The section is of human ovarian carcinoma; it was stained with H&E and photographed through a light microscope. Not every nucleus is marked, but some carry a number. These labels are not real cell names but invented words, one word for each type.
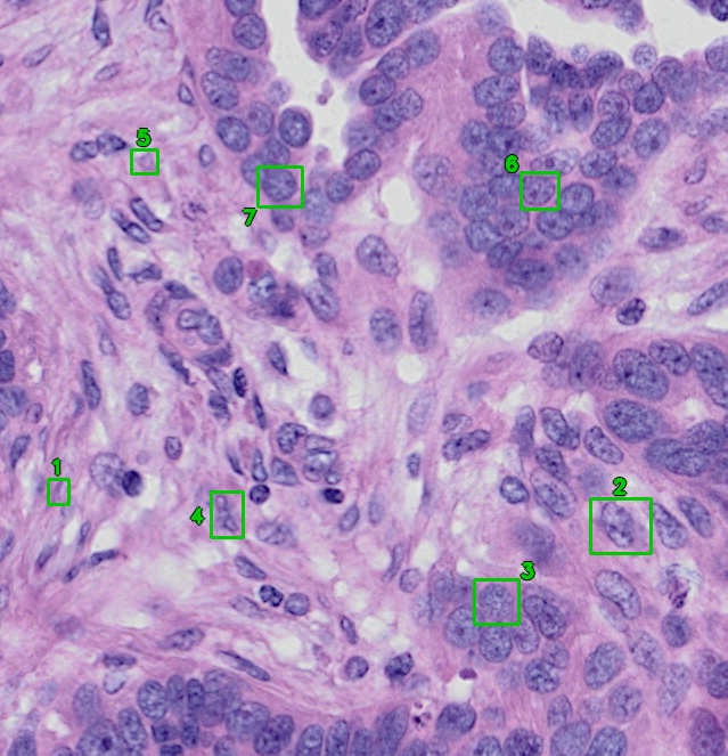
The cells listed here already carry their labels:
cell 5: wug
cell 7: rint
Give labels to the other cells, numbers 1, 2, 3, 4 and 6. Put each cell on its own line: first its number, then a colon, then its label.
1: wug
2: wug
3: rint
4: wug
6: rint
